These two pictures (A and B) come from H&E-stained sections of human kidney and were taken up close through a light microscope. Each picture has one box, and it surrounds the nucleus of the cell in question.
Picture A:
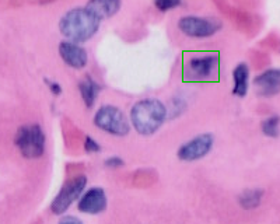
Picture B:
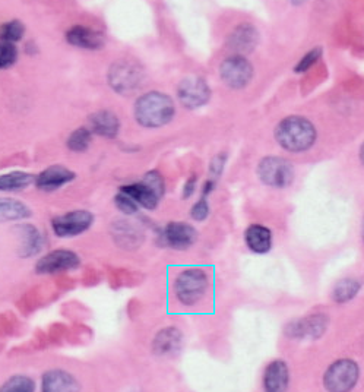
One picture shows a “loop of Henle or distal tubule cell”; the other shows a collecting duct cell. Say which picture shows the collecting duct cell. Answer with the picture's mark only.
A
